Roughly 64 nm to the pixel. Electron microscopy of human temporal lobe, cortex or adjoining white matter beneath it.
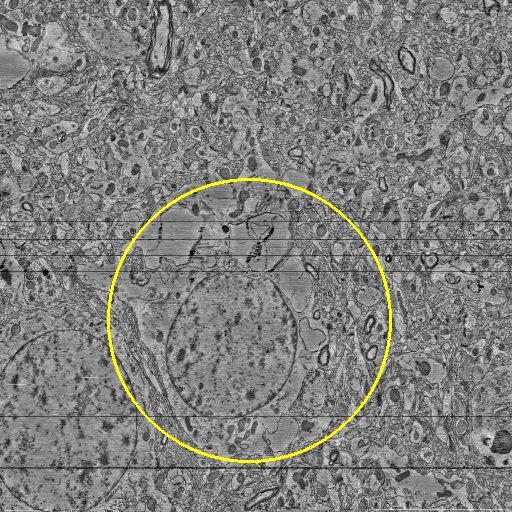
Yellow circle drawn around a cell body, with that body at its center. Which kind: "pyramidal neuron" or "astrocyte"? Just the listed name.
astrocyte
